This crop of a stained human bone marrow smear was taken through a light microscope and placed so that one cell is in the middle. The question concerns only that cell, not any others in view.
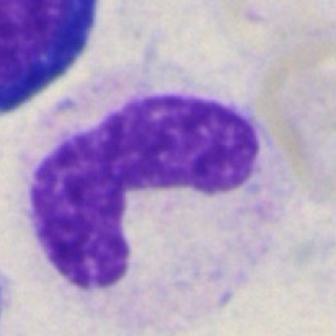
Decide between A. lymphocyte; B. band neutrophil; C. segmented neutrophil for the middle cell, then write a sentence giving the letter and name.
This one is option B, since the cell at the center is a band neutrophil.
